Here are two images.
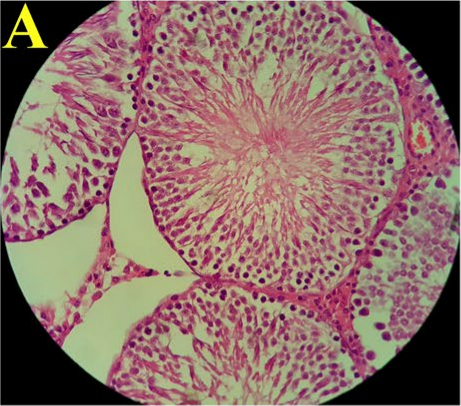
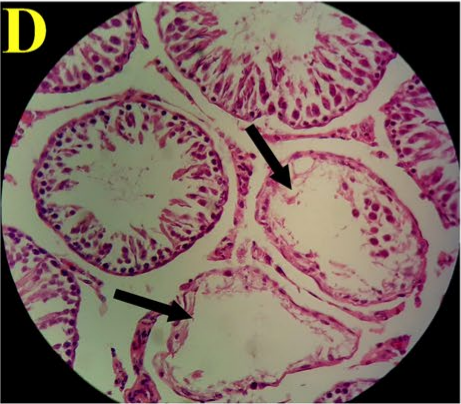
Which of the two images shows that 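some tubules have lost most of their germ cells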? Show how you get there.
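The second image. First image: the tubules are filled with a thick, many-layered germinal epithelium up to the lumen. Second image: two tubules are largely empty with only a thin rim of cells.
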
